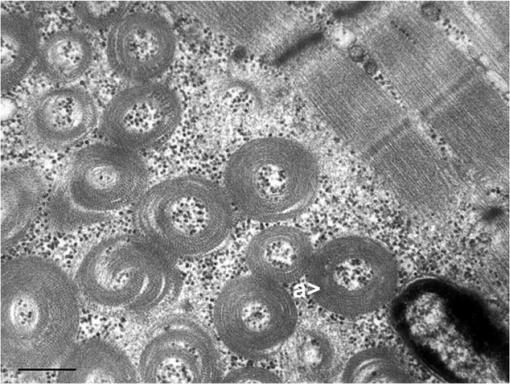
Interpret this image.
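This is part of a skeletal muscle fibre, where an area of cytoplasm is crowded with numerous round concentric laminated bodies. Each body is built of tightly packed, curved membranous lamellae wound around a paler core that holds small dark granules. The cytoplasm between the bodies is granular and dotted with dark particles. Striated myofibrils with regular banding border this area at the upper right.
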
